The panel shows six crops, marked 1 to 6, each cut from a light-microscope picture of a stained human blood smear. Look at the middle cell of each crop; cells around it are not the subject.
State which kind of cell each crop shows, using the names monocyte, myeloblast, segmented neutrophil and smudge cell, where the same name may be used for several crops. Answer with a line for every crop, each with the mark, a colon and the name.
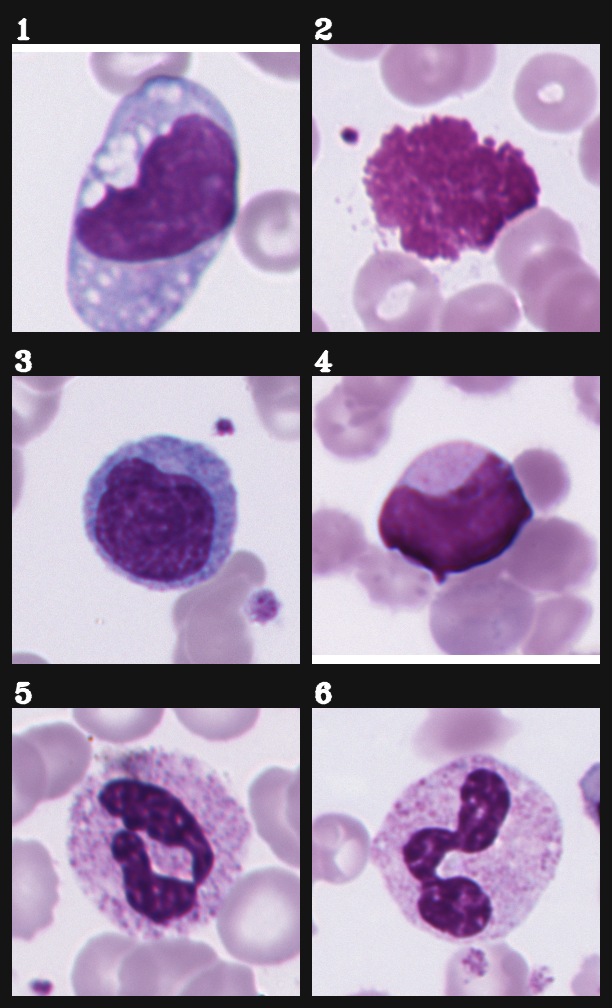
1: monocyte
2: smudge cell
3: monocyte
4: myeloblast
5: segmented neutrophil
6: segmented neutrophil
